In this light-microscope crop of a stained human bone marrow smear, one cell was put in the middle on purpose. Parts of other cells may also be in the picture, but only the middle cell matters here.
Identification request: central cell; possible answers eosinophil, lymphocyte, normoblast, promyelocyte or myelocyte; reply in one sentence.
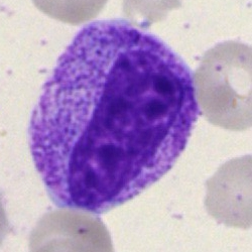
The cell at the middle of the crop is recognized as a myelocyte.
